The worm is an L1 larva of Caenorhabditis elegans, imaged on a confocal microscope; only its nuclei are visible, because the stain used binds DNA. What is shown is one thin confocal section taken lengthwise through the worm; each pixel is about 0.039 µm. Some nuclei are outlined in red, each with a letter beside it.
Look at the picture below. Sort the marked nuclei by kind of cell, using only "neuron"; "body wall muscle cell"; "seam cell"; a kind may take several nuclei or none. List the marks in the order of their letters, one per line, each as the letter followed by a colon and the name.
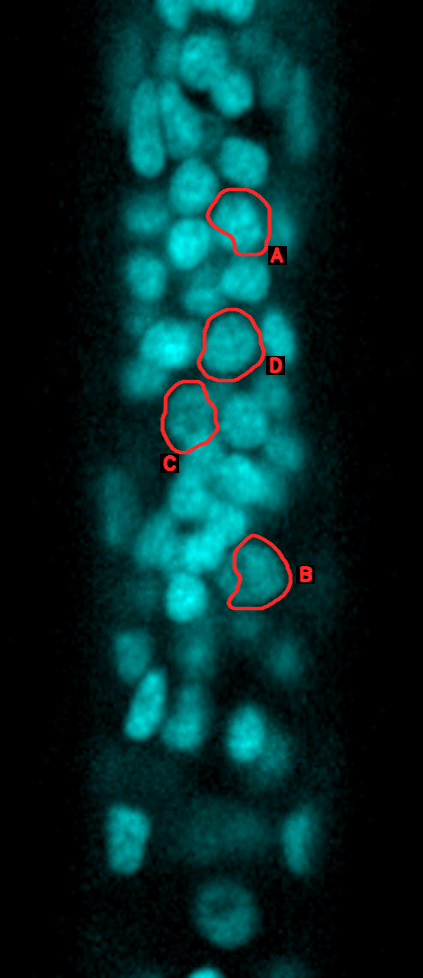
A: neuron
B: seam cell
C: neuron
D: neuron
